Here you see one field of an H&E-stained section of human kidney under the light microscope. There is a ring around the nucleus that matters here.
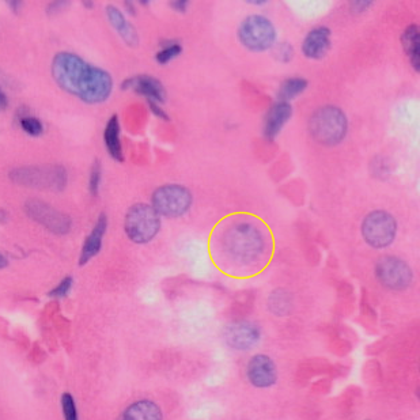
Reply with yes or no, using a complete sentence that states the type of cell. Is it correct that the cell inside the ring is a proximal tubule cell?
Yes, the identification stands: the cell inside the ring is a proximal tubule cell.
